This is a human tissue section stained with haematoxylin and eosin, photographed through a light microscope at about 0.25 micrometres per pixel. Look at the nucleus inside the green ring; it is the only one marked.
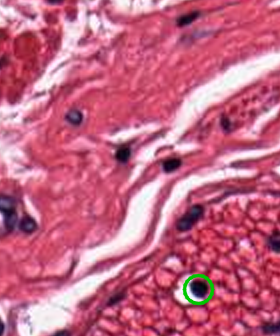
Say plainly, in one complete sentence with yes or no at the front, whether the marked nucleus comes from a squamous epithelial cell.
No, the marked nucleus, rather than belonging to a squamous epithelial cell, belongs to a supporting cell.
